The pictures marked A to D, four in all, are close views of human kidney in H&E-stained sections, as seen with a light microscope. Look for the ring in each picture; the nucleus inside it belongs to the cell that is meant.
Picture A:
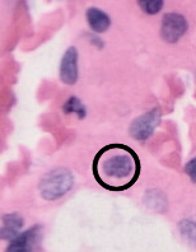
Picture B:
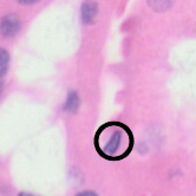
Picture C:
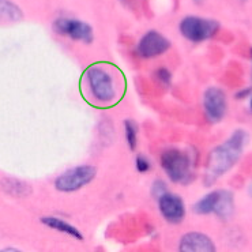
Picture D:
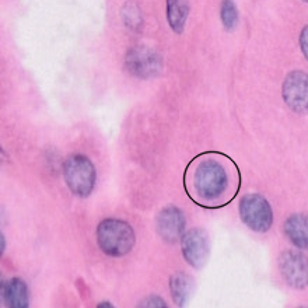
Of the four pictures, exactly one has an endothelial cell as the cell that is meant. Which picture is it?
B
